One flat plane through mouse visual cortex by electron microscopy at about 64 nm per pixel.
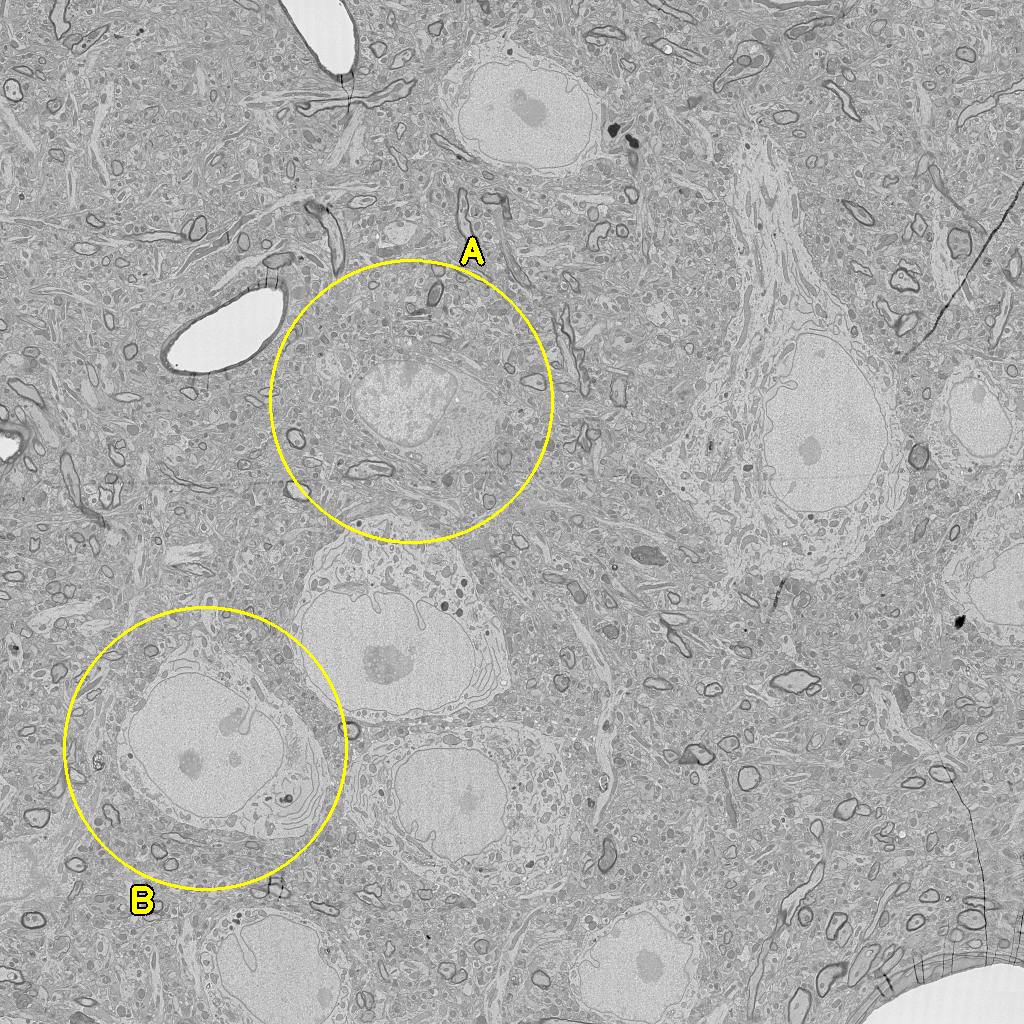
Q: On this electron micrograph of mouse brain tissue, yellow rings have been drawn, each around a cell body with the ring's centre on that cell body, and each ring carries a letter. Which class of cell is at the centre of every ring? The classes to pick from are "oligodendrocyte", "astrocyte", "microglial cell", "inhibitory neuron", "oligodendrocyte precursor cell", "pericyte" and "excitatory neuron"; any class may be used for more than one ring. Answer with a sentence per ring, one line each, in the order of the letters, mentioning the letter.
The centre of ring A is occupied by an oligodendrocyte.
The centre of ring B is occupied by an excitatory neuron.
